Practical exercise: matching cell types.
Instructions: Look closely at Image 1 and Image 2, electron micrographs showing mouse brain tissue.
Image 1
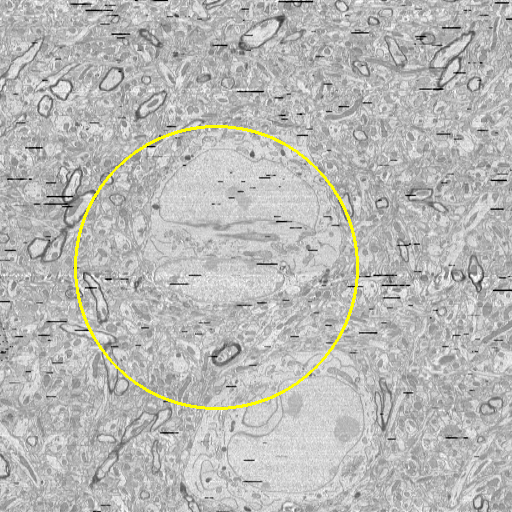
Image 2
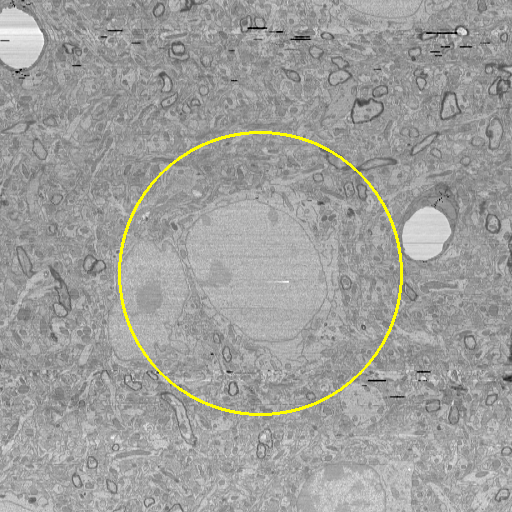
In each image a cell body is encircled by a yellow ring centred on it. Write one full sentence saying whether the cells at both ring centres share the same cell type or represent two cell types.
Across Image 1 and Image 2, the cells at the ring centres represent two cell types.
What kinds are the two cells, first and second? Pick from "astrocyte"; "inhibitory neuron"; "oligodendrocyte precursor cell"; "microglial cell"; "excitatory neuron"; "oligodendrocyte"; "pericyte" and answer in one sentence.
The second picture holds an excitatory neuron in its ring, and the first holds an oligodendrocyte precursor cell.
